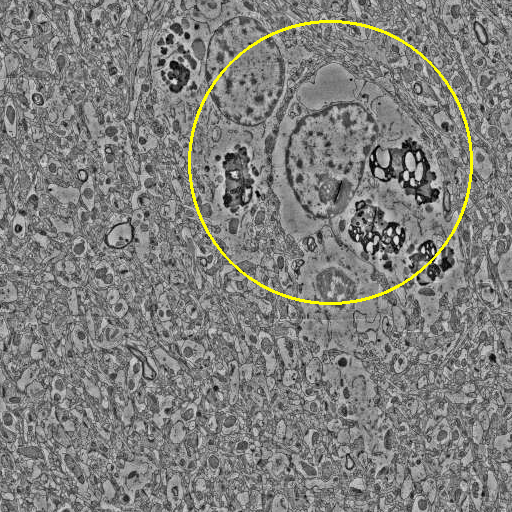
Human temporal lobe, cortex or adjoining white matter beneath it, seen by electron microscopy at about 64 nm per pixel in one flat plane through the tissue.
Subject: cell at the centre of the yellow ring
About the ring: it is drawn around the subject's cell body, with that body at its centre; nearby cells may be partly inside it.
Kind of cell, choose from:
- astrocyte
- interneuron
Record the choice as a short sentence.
The subject cell is an astrocyte.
